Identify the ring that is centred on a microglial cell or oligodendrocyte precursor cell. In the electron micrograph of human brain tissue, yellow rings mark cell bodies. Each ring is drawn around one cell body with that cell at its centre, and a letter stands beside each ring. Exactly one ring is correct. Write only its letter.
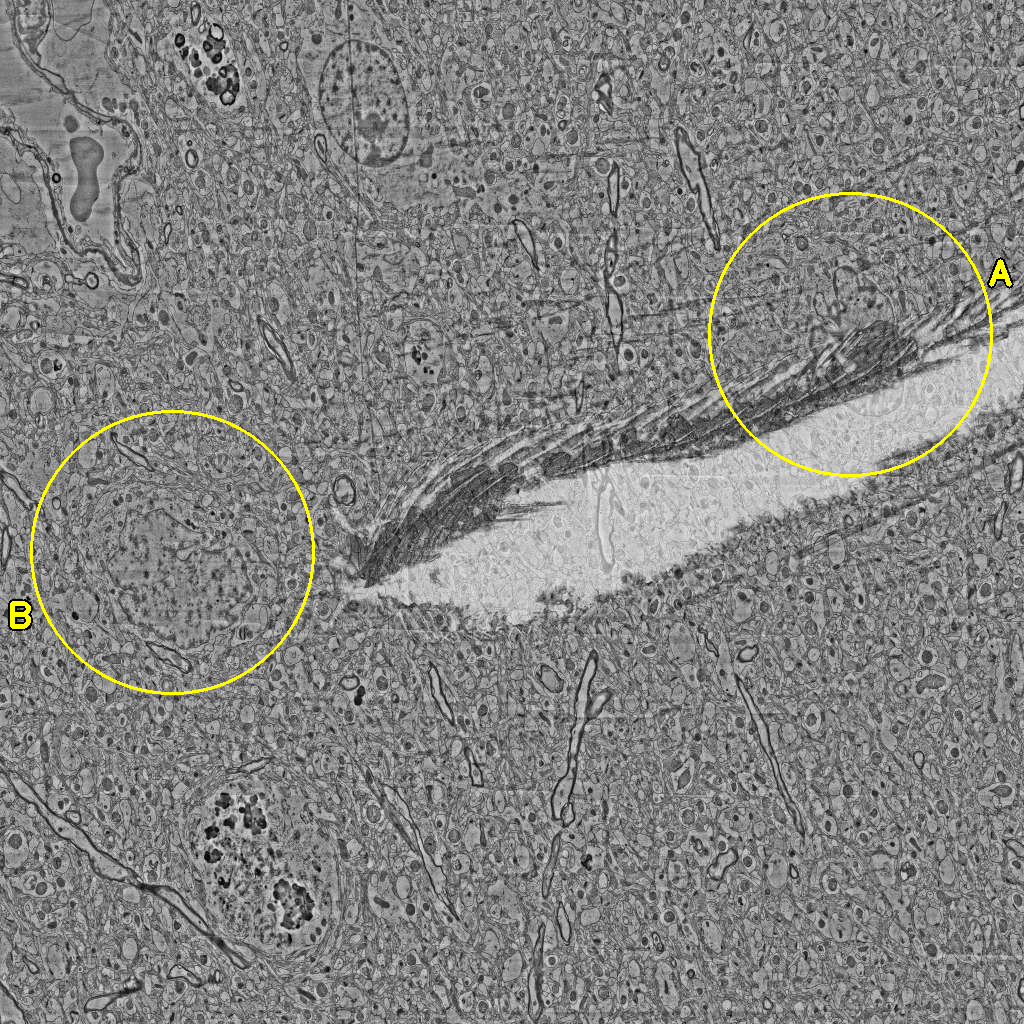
A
